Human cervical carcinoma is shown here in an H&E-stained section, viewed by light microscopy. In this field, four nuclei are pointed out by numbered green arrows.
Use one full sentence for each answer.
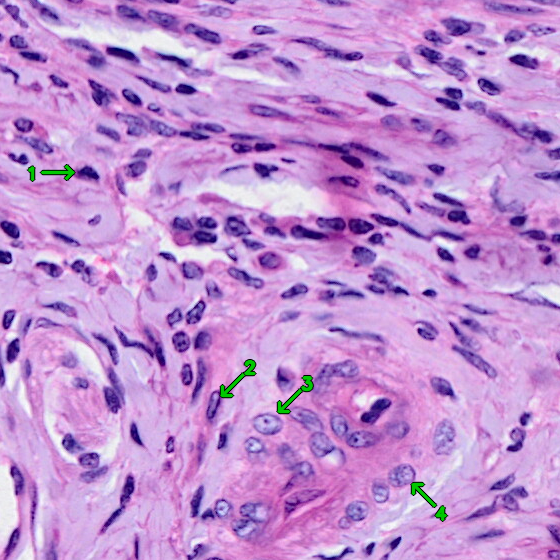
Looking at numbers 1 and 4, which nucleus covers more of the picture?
At about 2 times the area of nucleus 1, nucleus 4 is the larger of the two.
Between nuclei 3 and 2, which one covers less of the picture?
Nucleus 2 covers less area, with nucleus 3 about 2 times as large.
